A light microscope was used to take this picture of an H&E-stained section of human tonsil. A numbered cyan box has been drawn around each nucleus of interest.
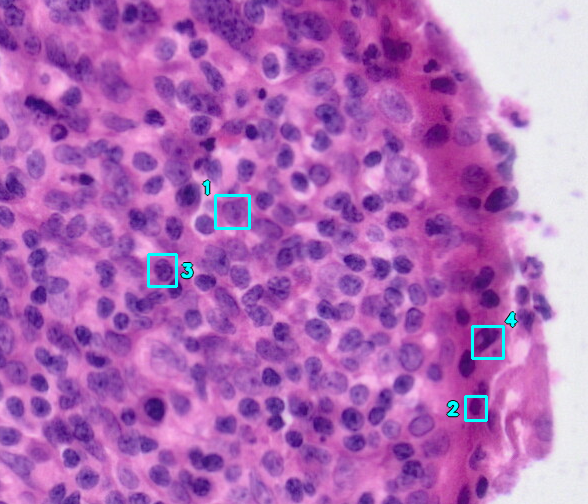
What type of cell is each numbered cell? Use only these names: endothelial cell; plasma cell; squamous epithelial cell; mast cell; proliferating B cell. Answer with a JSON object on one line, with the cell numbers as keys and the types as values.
{"1": "squamous epithelial cell", "2": "squamous epithelial cell", "3": "plasma cell", "4": "squamous epithelial cell"}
